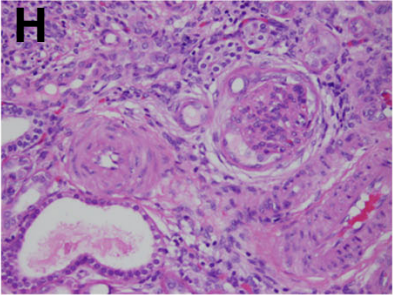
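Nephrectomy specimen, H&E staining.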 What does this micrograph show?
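Kidney tissue with tubules shows a small vessel whose narrow lumen is ringed by many concentric layers of elongated cells and pink matrix, giving a layered look. Next to it lies a round glomerulus with increased pink matrix and few open capillary loops.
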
